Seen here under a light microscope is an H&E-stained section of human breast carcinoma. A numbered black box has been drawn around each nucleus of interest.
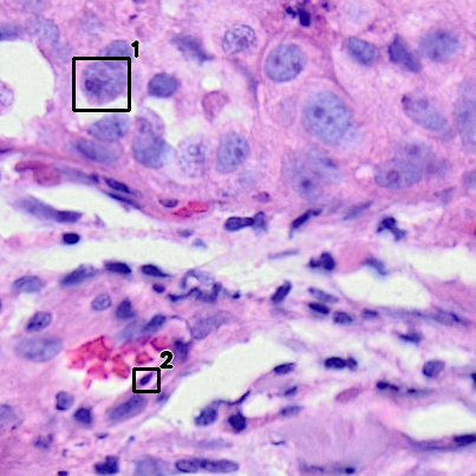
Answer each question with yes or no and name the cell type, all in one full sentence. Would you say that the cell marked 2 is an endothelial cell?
Yes, as for number 2, the cell is an endothelial cell.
